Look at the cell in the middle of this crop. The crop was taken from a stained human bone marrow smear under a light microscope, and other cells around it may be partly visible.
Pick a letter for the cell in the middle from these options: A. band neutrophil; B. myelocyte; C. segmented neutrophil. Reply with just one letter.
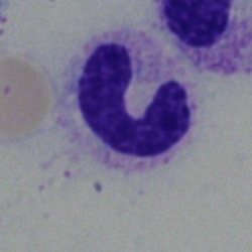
A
